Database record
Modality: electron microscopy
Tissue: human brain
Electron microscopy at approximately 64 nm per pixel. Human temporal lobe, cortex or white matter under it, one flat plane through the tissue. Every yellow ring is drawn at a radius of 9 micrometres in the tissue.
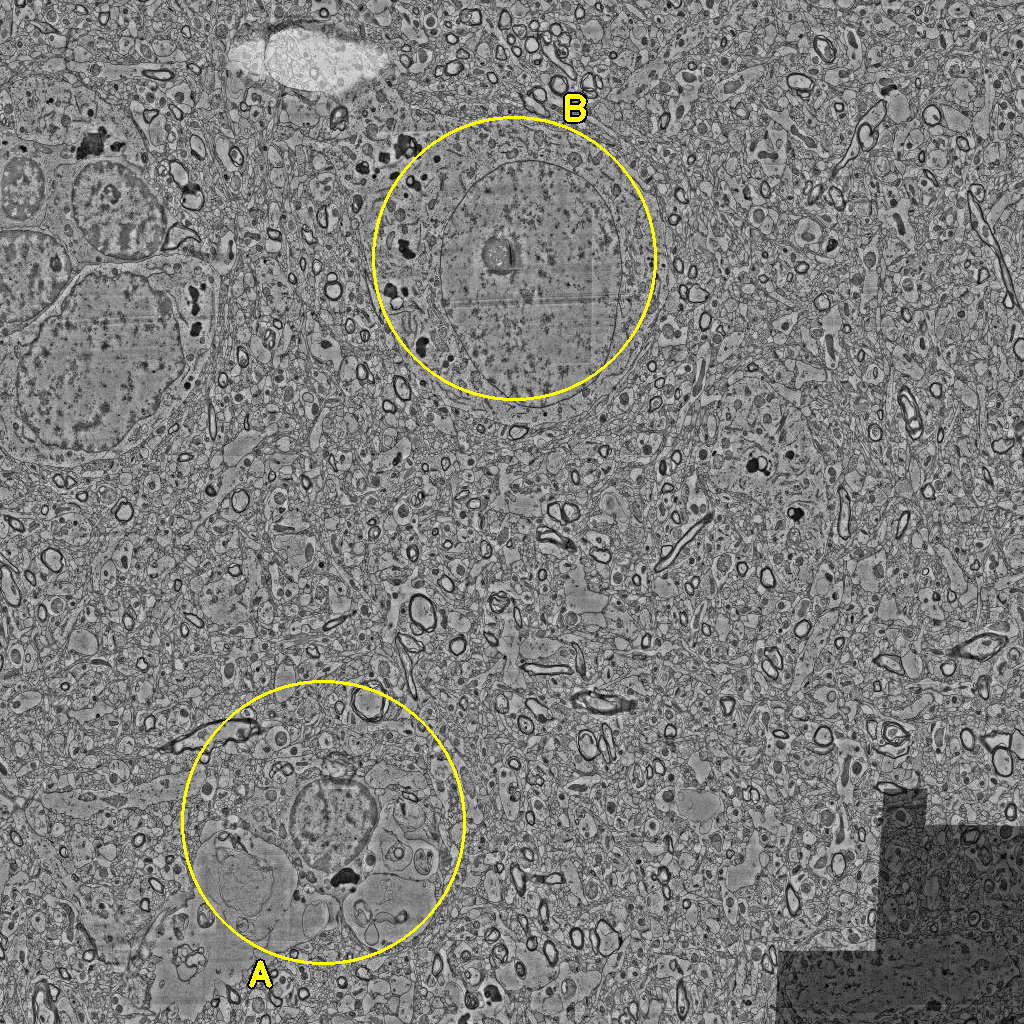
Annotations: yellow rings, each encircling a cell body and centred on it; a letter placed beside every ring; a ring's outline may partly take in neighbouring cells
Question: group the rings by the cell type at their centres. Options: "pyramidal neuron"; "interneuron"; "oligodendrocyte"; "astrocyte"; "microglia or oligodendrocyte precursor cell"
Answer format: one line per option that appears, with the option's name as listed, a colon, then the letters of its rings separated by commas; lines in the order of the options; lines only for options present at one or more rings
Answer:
pyramidal neuron: B
oligodendrocyte: A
